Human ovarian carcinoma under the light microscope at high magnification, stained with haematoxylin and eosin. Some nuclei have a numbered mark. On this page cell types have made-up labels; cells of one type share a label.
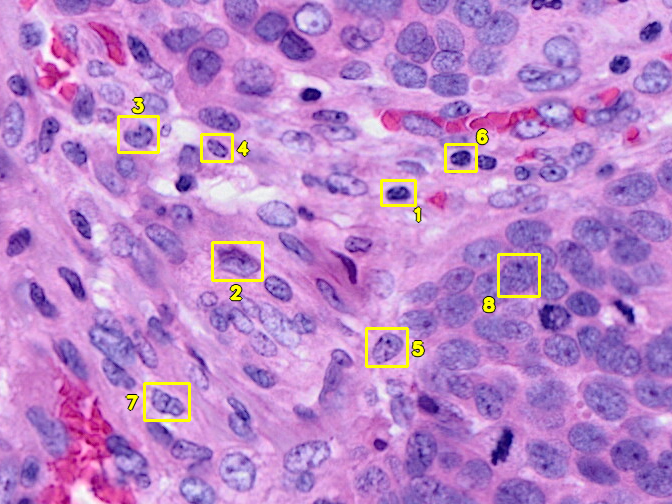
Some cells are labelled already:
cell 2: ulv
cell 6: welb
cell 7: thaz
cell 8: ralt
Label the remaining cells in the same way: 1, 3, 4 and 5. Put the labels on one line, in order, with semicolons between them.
welb; thaz; welb; thaz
